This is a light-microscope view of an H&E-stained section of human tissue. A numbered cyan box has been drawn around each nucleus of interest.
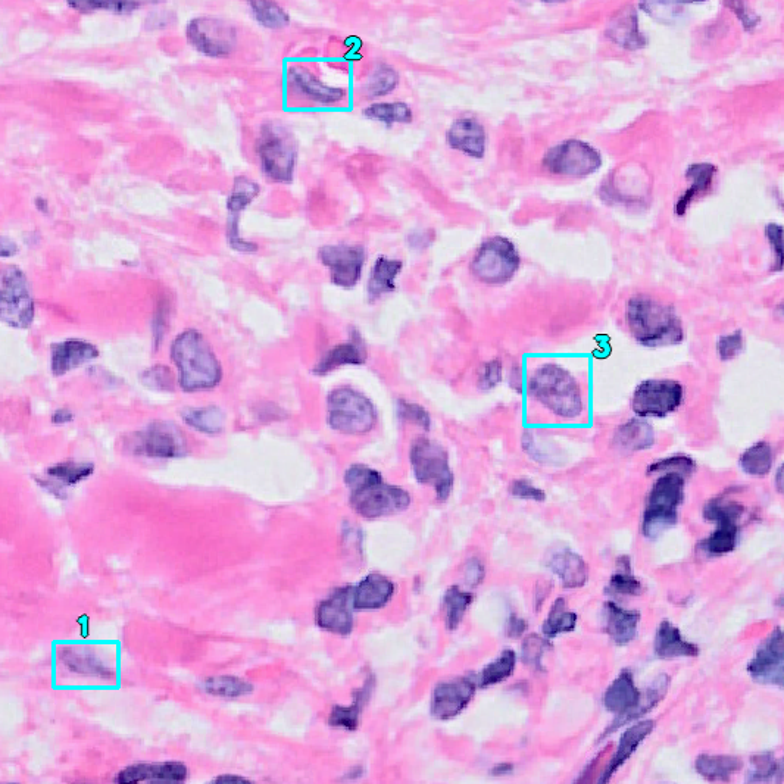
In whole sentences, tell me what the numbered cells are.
Cell 1 is a fibroblast. Cell 2 is an endothelial cell. Cell 3 is a carcinoma cell.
